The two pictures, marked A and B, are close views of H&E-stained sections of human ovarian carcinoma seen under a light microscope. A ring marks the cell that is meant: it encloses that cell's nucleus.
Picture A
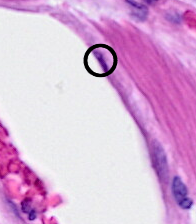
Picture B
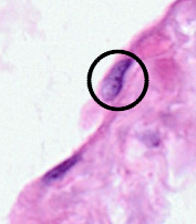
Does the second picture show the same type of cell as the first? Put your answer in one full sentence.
Yes; the cells in both pictures are endothelial cells.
